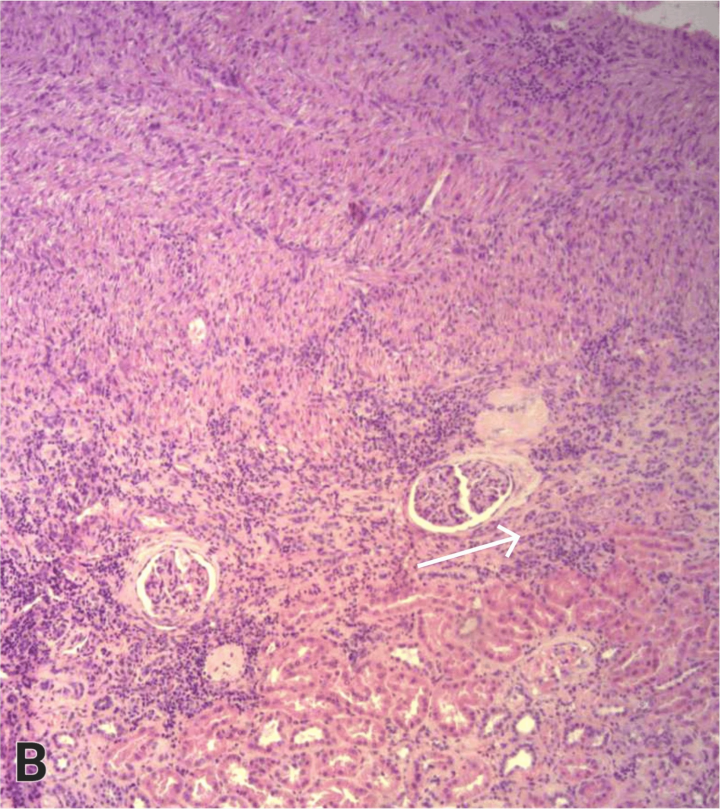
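This field shows the edge of a spindle-cell tumor pressing on kidney tissue. The upper part is filled with pink bundles of elongated spindle cells. Below, the kidney shows renal tubules lined by pink epithelial cells and several glomeruli inside their capsules. Between tumor and kidney, tubules are small and sparse, and dense clusters of small round dark nuclei lie among them. The tubules nearest the tumor look shrunken compared with those farther away.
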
